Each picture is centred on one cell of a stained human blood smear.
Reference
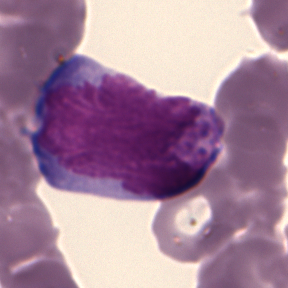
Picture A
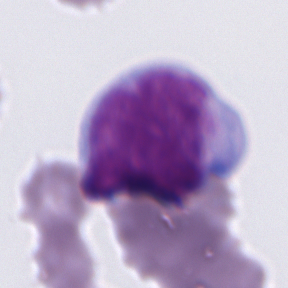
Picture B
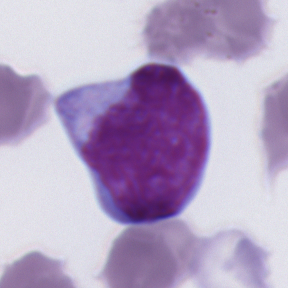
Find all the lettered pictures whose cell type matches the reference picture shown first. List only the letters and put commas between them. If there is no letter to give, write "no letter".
A, B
